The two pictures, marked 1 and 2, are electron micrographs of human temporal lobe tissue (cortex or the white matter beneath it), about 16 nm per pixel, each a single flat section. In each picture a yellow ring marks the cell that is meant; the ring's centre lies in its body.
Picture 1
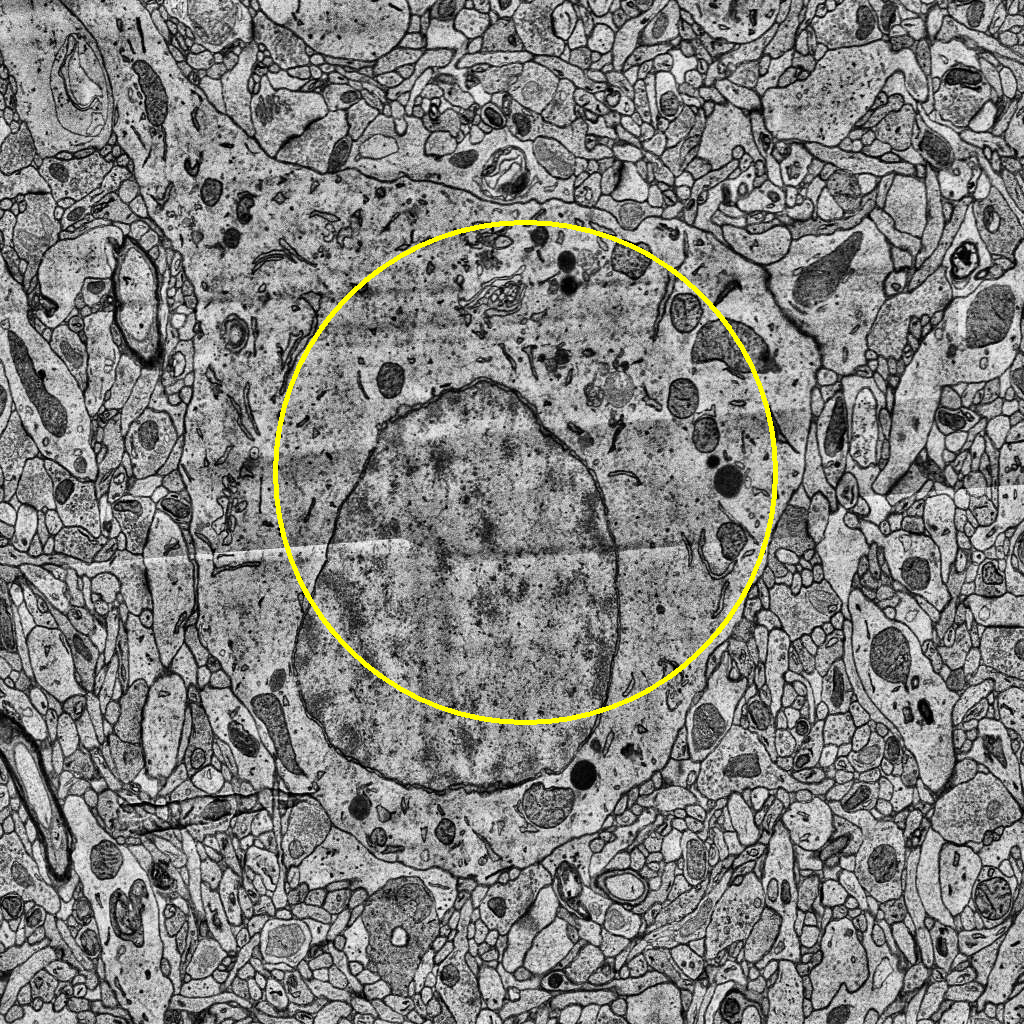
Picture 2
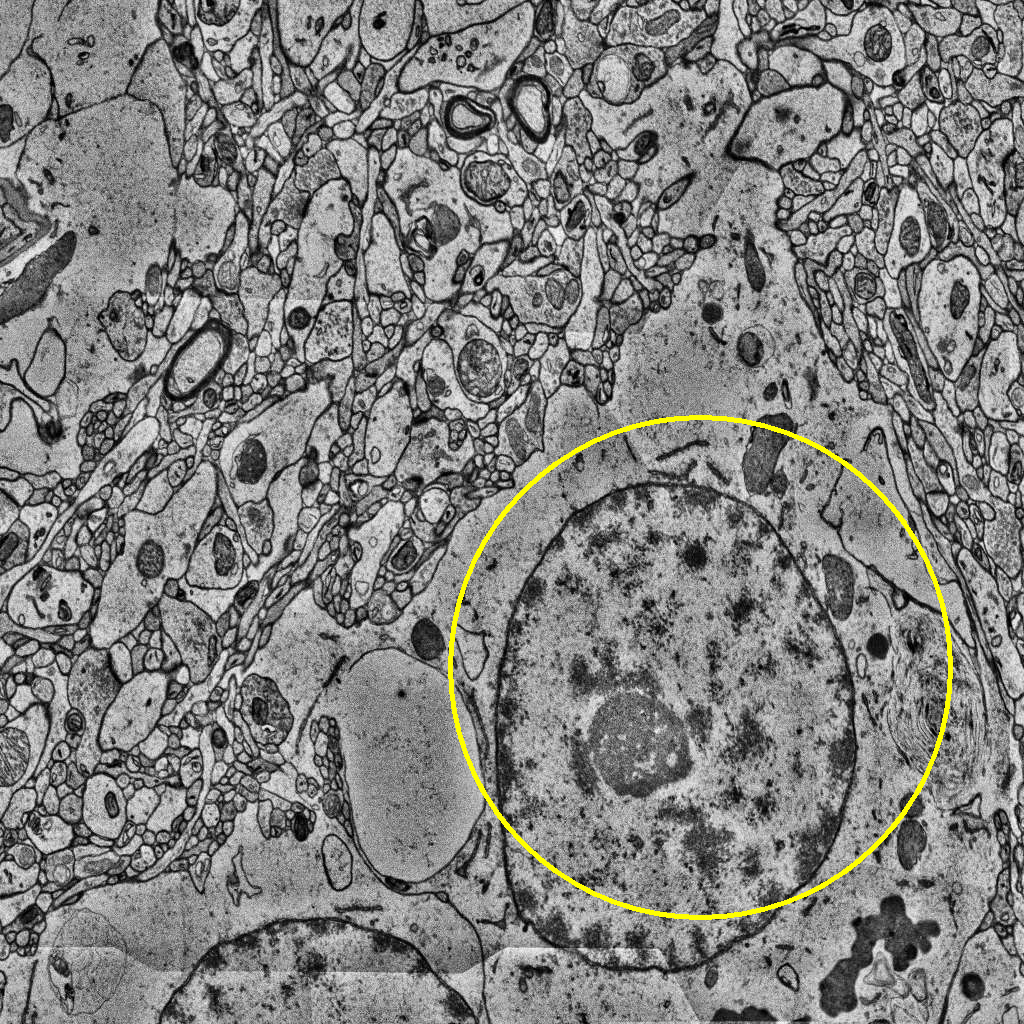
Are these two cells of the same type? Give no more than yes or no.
no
